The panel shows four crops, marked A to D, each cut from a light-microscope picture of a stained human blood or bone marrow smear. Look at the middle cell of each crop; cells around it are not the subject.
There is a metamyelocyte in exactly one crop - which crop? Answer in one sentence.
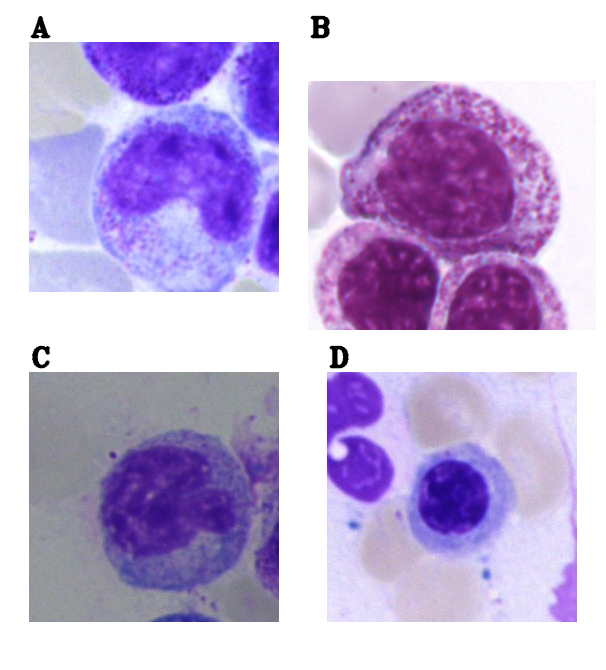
Crop A is the one to choose: it shows a metamyelocyte.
